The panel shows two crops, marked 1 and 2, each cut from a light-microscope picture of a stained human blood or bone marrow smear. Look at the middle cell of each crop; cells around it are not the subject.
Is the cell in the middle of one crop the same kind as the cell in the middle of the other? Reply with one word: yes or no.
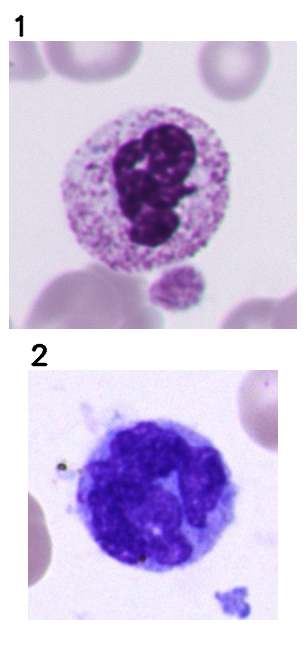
no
